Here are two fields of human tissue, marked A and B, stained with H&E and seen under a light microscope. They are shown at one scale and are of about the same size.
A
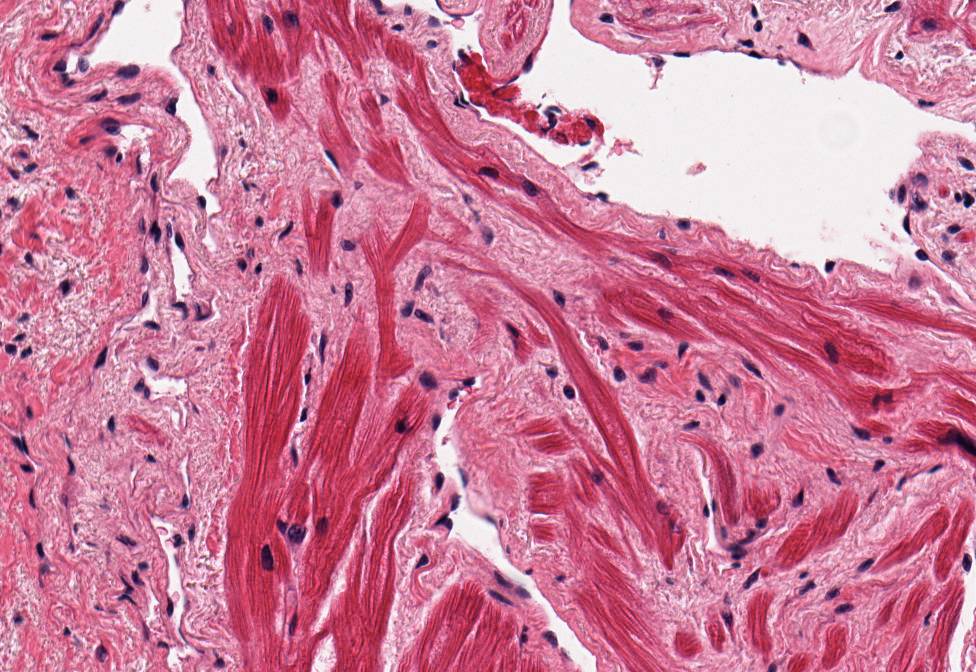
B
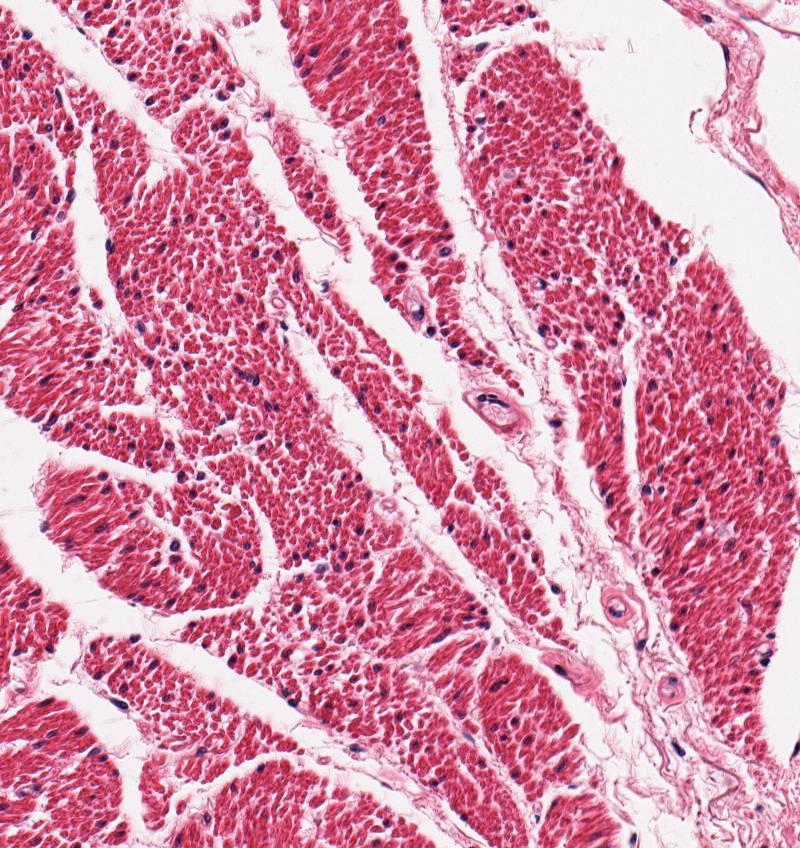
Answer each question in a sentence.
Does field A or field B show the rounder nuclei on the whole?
Rounder nuclei lie in field B.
